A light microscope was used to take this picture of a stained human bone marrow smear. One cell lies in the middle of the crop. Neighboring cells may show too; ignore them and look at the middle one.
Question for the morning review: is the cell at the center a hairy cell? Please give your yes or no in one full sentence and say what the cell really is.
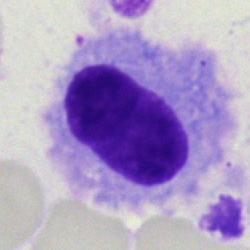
Yes, the cell of interest in the centre is a hairy cell.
